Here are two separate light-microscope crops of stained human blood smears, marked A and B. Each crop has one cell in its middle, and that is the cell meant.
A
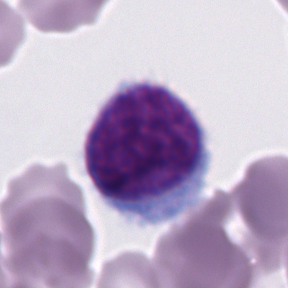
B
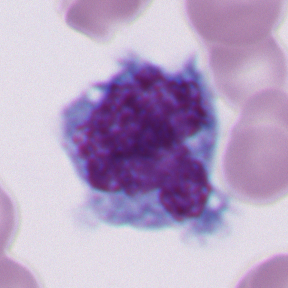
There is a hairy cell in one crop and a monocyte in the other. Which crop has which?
A: hairy cell
B: monocyte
